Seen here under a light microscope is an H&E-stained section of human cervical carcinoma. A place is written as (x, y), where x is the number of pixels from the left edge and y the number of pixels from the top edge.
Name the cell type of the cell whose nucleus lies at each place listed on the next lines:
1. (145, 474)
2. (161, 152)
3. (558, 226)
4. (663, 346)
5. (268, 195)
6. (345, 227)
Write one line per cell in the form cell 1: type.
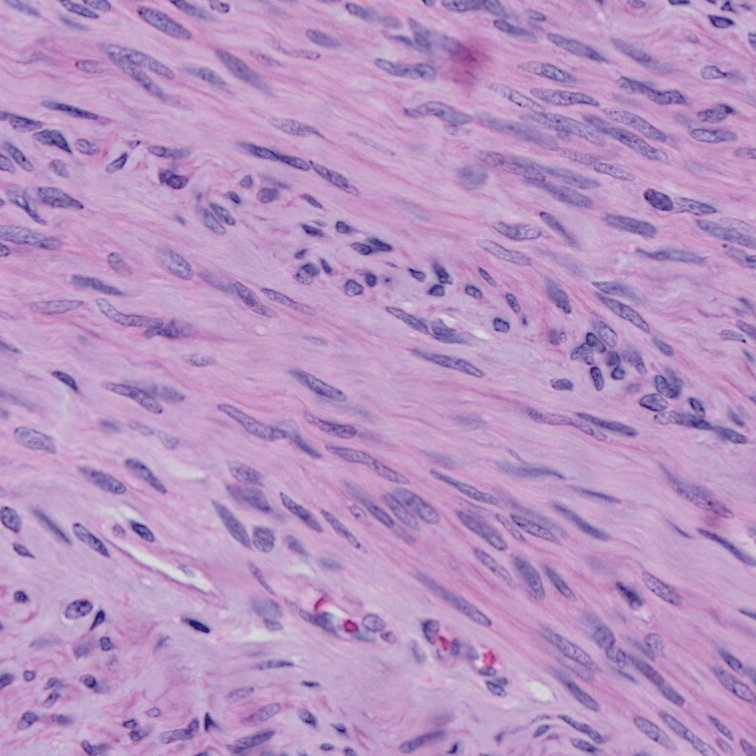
cell 1: fibroblast
cell 2: smooth muscle cell
cell 3: smooth muscle cell
cell 4: smooth muscle cell
cell 5: smooth muscle cell
cell 6: fibroblast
